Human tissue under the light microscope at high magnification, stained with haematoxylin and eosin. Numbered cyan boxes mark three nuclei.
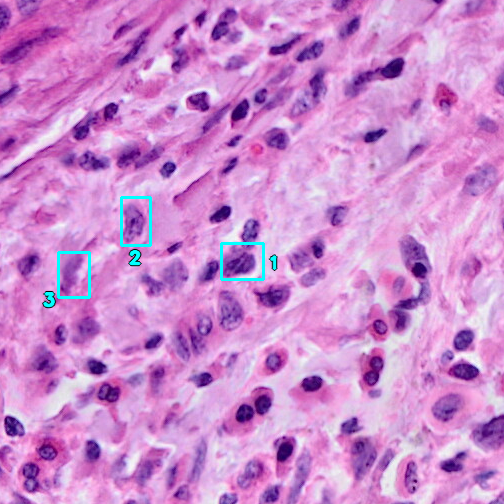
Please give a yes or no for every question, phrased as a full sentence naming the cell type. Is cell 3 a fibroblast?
Yes, the cell that goes by number 3 is a fibroblast.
